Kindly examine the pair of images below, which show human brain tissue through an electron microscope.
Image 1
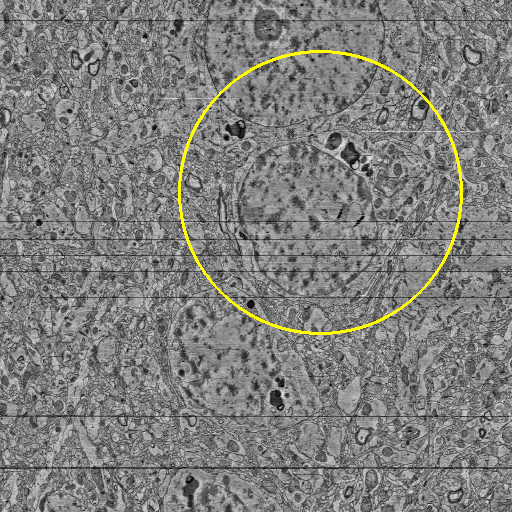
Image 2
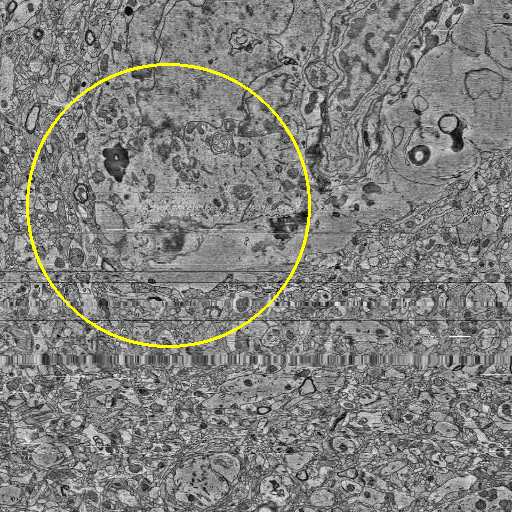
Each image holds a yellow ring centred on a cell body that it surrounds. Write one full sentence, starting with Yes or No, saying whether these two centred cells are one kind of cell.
No, the cells at the centres of the yellow rings belong to two kinds of cell.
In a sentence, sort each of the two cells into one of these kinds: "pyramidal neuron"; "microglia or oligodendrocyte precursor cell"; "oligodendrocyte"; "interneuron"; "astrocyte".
The first of the two cells is an interneuron, and the second is a microglial cell or oligodendrocyte precursor cell.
